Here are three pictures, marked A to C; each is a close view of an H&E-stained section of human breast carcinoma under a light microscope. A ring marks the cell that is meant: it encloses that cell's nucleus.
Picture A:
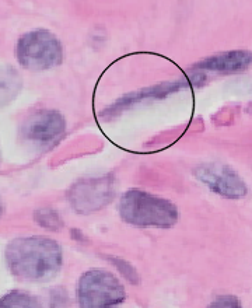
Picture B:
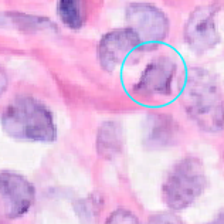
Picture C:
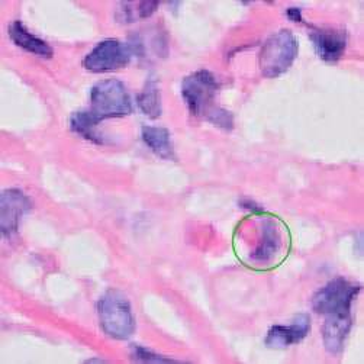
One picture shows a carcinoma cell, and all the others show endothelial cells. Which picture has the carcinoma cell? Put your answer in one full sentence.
The picture with the carcinoma cell is B.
